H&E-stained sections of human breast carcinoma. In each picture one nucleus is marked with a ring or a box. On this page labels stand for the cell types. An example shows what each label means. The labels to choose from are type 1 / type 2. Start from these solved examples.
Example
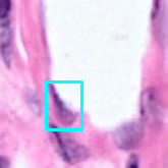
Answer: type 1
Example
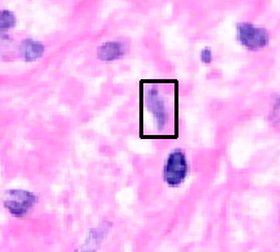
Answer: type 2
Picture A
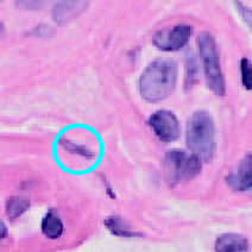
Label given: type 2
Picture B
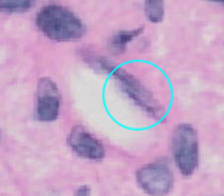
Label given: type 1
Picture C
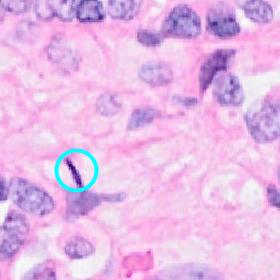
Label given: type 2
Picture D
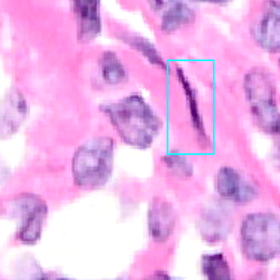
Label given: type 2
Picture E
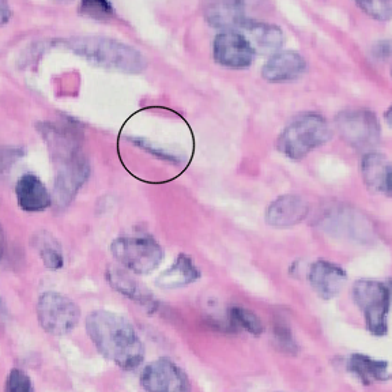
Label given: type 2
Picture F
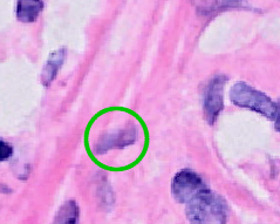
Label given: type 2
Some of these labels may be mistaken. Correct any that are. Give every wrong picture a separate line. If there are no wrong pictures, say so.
E: type 1, not type 2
